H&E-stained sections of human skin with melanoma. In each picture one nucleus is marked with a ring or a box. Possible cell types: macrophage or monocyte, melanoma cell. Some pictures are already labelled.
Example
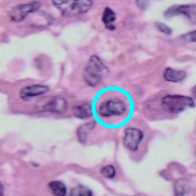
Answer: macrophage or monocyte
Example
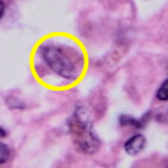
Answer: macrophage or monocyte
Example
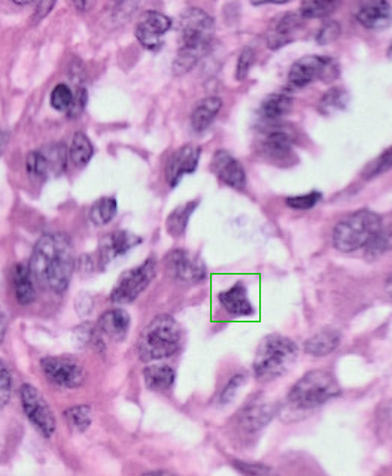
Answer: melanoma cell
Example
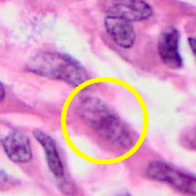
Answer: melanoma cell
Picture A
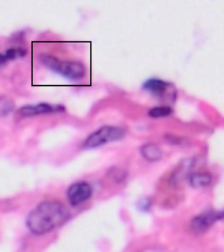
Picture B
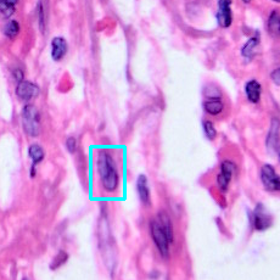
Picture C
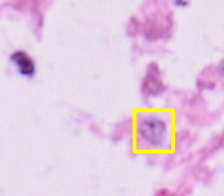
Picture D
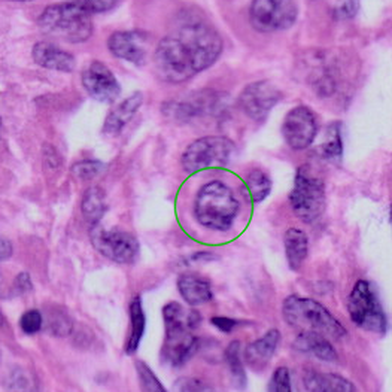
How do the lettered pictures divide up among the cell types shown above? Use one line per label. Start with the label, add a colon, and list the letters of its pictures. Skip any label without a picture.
macrophage or monocyte: A, B, C
melanoma cell: D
